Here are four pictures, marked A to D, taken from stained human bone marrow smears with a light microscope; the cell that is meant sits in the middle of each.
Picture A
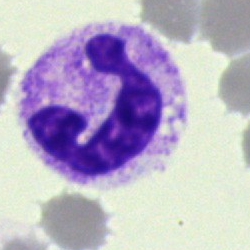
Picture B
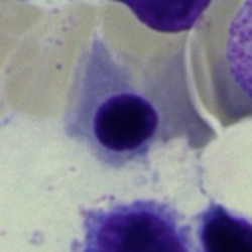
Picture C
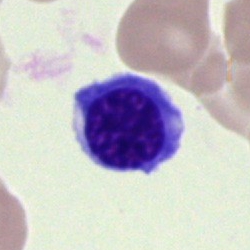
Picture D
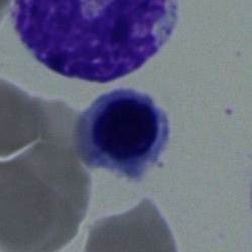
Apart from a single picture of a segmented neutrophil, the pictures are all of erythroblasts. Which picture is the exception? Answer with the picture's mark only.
A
